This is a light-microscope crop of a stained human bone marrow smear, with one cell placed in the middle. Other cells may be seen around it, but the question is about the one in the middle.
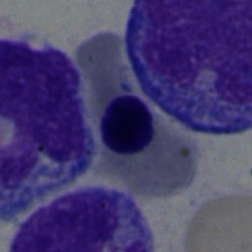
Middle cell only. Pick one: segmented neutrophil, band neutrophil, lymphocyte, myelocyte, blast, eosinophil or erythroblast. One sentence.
The cell at the heart of this crop is an erythroblast.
